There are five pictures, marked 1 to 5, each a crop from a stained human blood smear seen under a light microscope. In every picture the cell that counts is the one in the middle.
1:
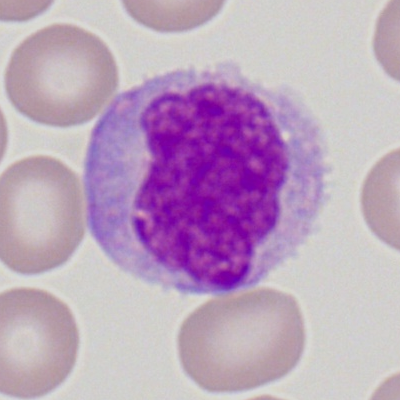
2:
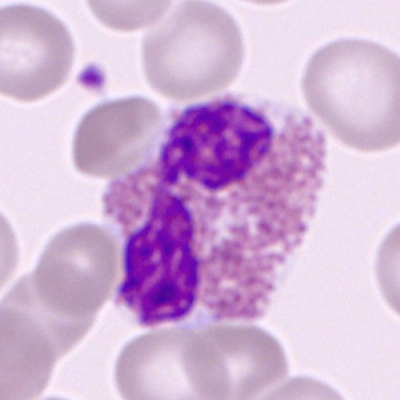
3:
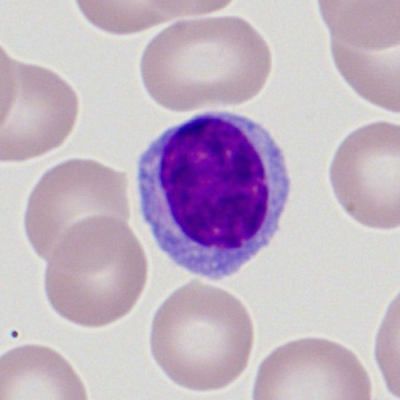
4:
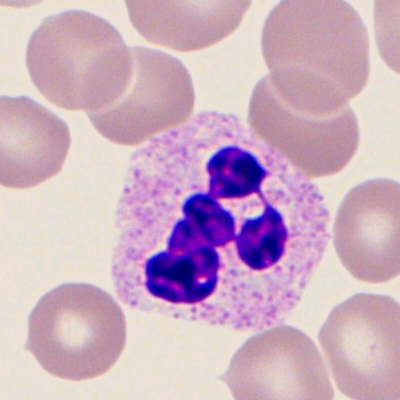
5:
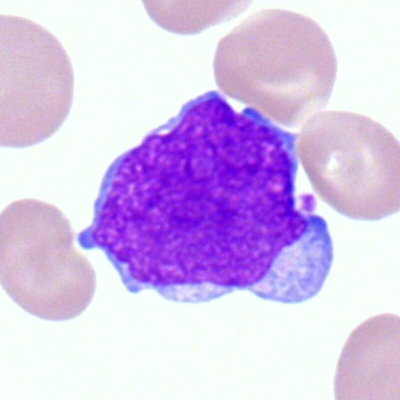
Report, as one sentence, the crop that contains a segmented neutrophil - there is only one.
Among all the crops given here, the one with a segmented neutrophil is crop 4.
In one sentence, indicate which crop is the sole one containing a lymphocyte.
Crop 3 is the crop in which a lymphocyte is shown.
